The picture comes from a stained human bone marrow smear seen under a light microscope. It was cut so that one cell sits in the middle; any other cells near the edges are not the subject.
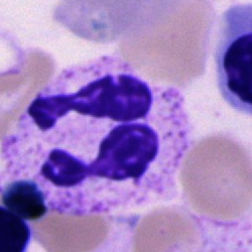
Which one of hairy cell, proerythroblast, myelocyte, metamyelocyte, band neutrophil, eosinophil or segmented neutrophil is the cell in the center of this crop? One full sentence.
Seen at the centre of the crop is a segmented neutrophil.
